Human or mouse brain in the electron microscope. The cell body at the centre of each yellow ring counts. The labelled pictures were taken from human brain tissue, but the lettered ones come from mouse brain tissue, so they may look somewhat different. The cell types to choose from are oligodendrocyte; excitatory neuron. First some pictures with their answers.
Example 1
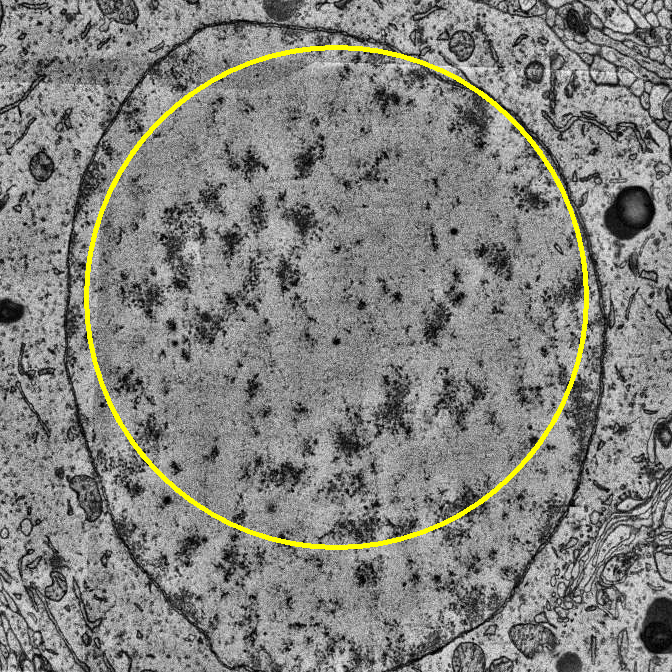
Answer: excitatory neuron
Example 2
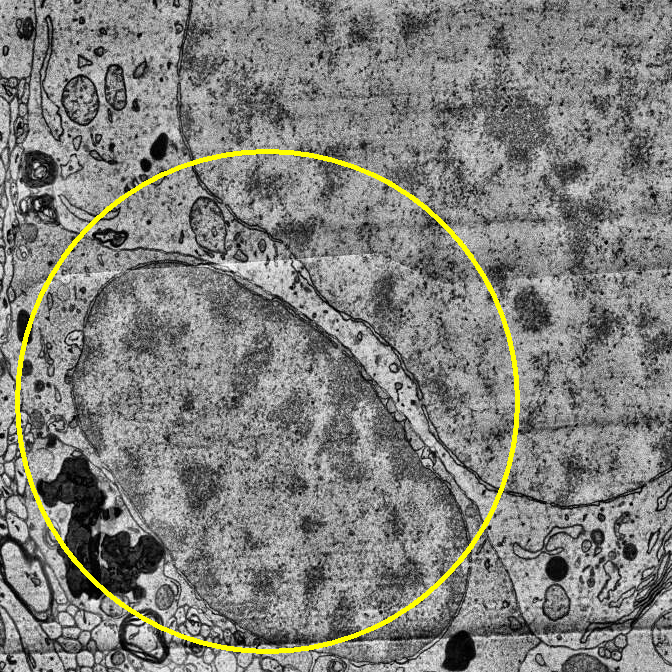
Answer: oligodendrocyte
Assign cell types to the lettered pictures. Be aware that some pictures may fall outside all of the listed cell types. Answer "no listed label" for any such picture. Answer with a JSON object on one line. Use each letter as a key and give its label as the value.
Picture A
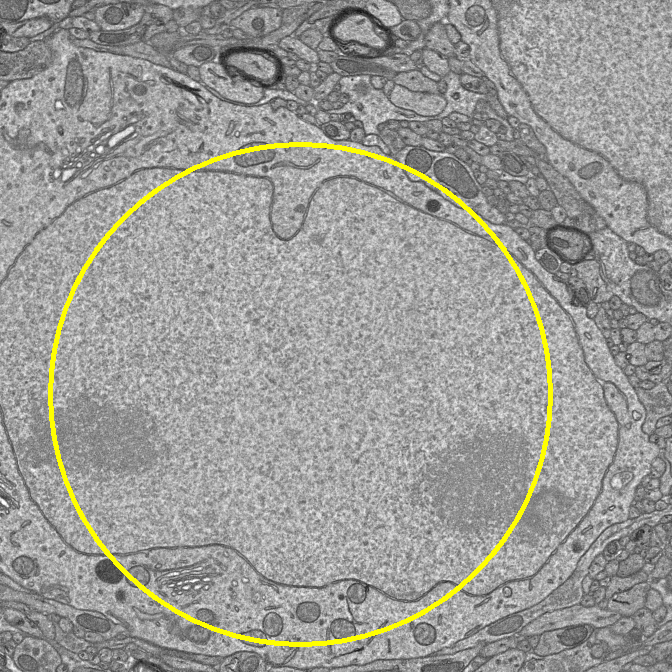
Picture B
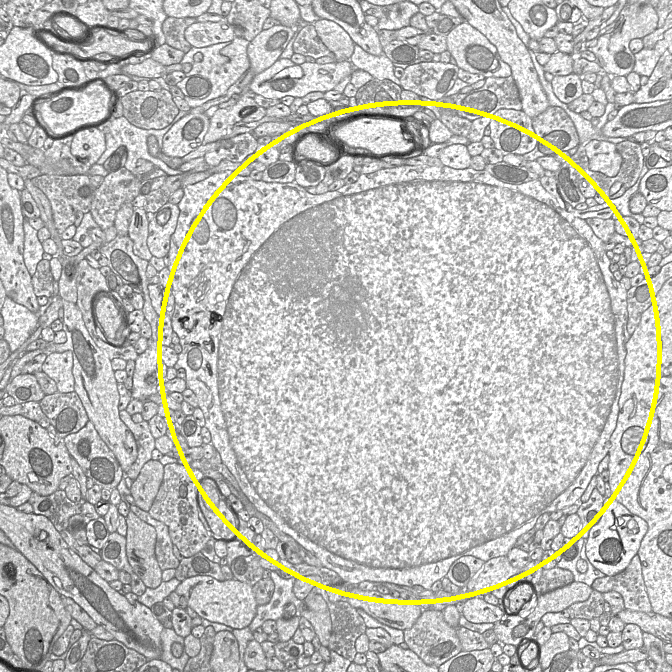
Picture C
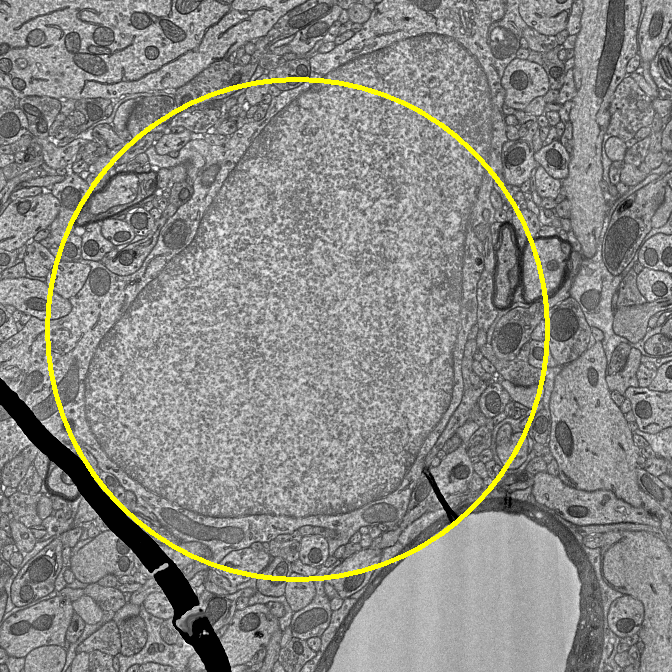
{"A": "excitatory neuron", "B": "no listed label", "C": "no listed label"}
